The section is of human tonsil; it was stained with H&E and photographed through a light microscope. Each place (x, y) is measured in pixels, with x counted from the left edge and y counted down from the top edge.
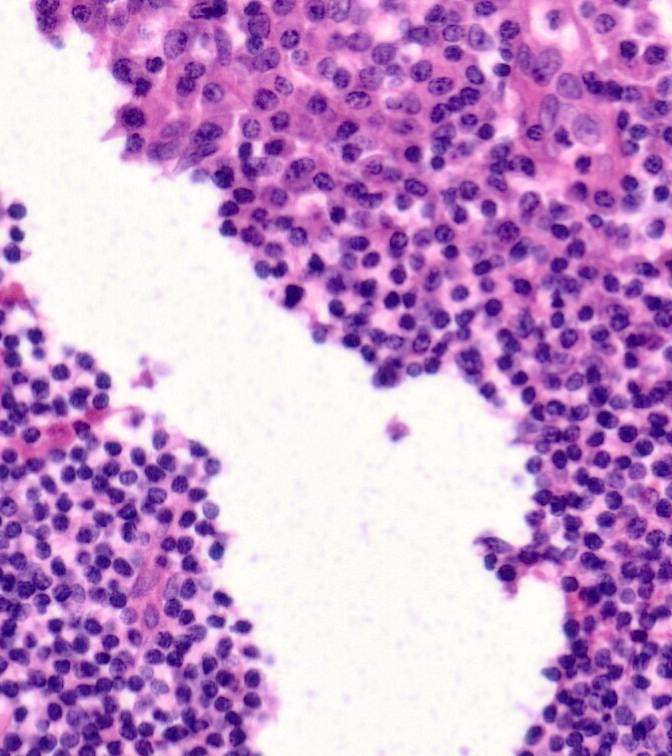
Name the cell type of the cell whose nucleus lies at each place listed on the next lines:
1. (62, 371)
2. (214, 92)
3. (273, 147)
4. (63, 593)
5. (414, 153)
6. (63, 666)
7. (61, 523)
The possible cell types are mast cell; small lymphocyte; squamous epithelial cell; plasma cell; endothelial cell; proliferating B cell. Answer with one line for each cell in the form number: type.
1: small lymphocyte
2: plasma cell
3: plasma cell
4: small lymphocyte
5: plasma cell
6: small lymphocyte
7: small lymphocyte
